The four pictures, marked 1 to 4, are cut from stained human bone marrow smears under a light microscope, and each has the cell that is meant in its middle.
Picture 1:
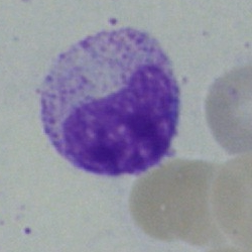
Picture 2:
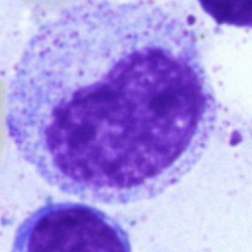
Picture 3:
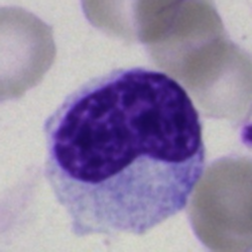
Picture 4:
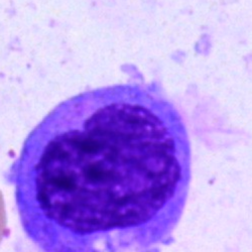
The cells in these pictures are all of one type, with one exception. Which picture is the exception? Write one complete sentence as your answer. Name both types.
Picture 4 differs, because its cell is a monocyte and the rest are metamyelocytes.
